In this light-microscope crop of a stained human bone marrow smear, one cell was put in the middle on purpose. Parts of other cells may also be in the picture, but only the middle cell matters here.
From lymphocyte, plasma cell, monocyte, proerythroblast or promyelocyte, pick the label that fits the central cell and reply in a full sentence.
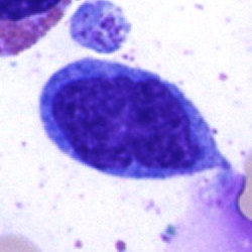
The cell in the middle of the field of view is a monocyte.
